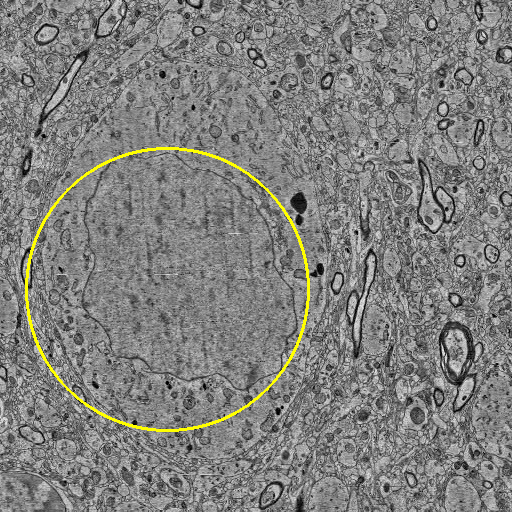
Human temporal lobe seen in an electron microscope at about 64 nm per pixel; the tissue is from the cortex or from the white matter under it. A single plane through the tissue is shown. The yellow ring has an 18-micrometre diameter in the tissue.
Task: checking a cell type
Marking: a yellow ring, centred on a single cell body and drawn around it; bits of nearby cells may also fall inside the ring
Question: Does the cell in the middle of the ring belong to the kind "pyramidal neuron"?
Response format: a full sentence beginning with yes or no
Yes, the cell marked at the ring's centre in the picture is of that kind.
